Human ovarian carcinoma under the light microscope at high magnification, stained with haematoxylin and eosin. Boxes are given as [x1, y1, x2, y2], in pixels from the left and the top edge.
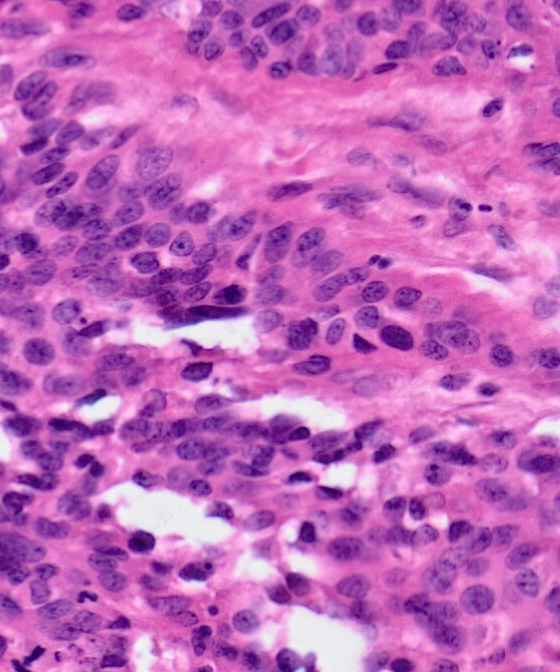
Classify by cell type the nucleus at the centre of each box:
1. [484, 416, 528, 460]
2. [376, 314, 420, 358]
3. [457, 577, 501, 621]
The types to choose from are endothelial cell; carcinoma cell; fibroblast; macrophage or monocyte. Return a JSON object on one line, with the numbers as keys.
{"1": "macrophage or monocyte", "2": "carcinoma cell", "3": "carcinoma cell"}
